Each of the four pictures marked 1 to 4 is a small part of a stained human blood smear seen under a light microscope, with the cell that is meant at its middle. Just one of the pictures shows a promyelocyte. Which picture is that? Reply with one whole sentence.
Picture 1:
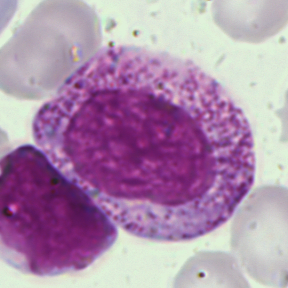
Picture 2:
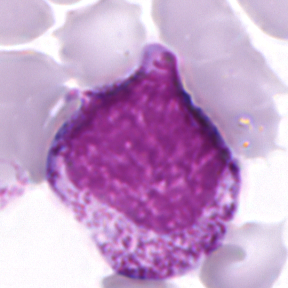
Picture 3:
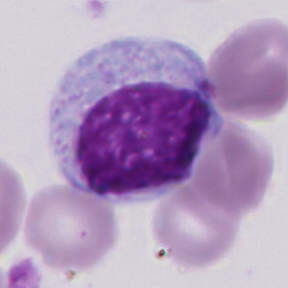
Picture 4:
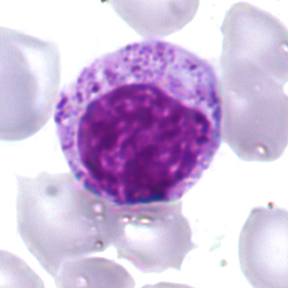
Picture 2 shows the promyelocyte.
